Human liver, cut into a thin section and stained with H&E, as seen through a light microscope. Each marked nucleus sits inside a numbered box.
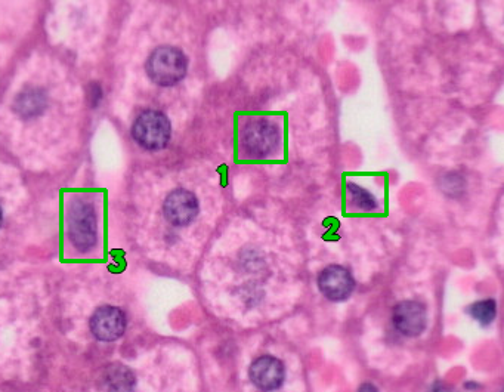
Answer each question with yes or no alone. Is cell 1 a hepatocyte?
yes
